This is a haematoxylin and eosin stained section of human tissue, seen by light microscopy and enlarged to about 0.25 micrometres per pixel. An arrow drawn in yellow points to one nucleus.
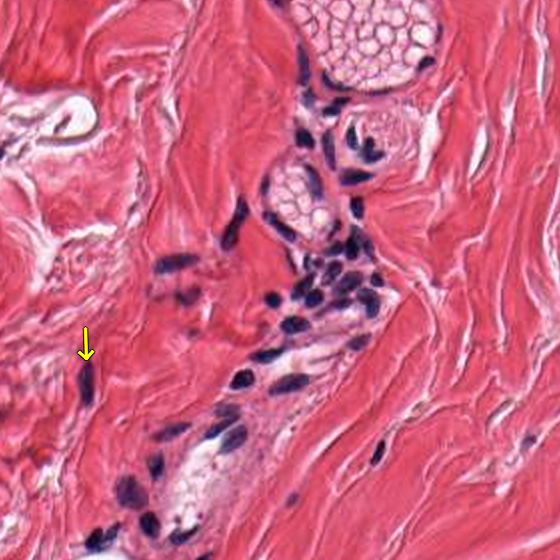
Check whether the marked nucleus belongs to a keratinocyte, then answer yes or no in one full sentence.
No, the marked nucleus is contained in a supporting cell and not in a keratinocyte.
